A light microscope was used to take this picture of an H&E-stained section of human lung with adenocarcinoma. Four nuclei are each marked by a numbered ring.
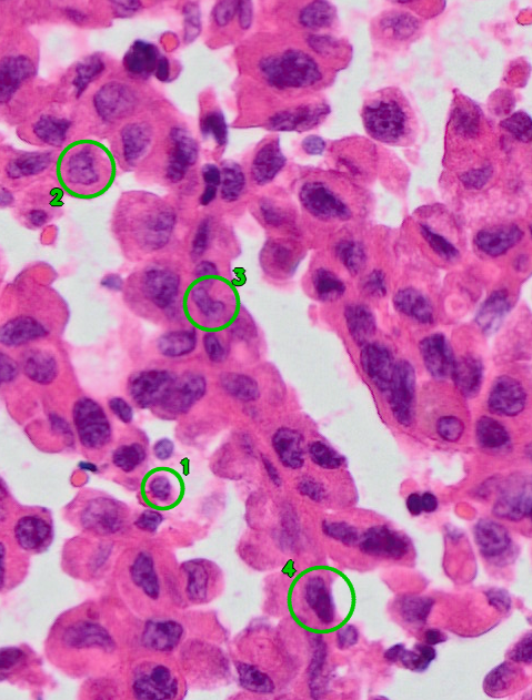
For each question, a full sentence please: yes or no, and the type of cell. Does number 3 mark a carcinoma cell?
Yes, the numbered nucleus 3 is that of a carcinoma cell.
